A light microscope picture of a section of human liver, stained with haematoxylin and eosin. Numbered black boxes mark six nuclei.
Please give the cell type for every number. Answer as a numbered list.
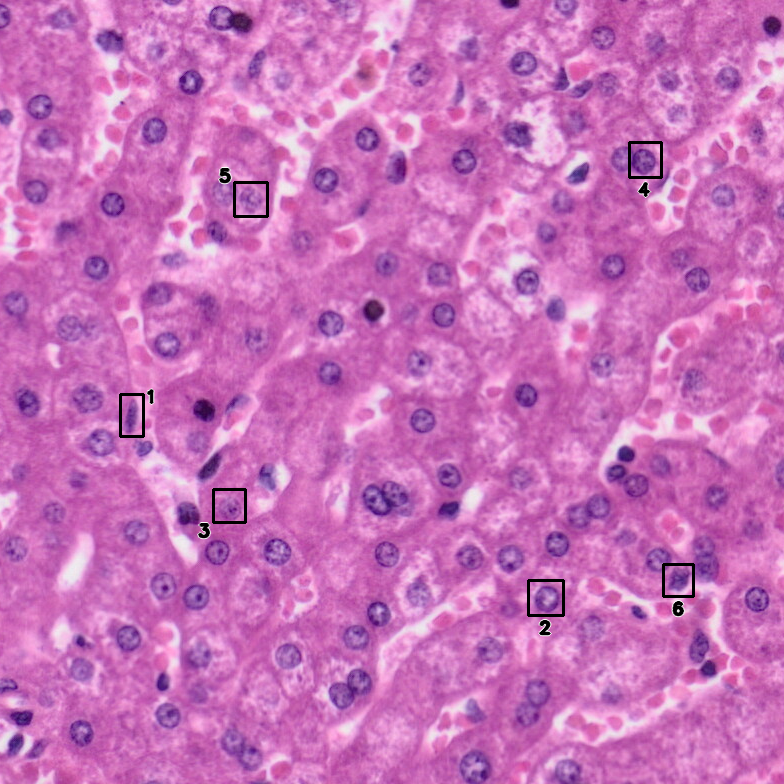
1. endothelial cell
2. hepatocyte
3. hepatocyte
4. hepatocyte
5. hepatocyte
6. fibroblast or stellate cell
